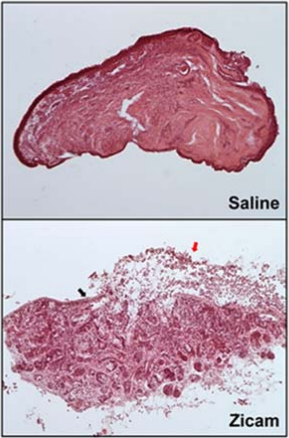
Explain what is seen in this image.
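In the upper piece a thin, dark surface epithelium runs unbroken around a compact pink stroma. In the lower piece the surface epithelium is broken and shed as loose, scattered debris above the tissue, and the tissue beneath is ragged and falling apart, the picture of severe necrosis.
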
